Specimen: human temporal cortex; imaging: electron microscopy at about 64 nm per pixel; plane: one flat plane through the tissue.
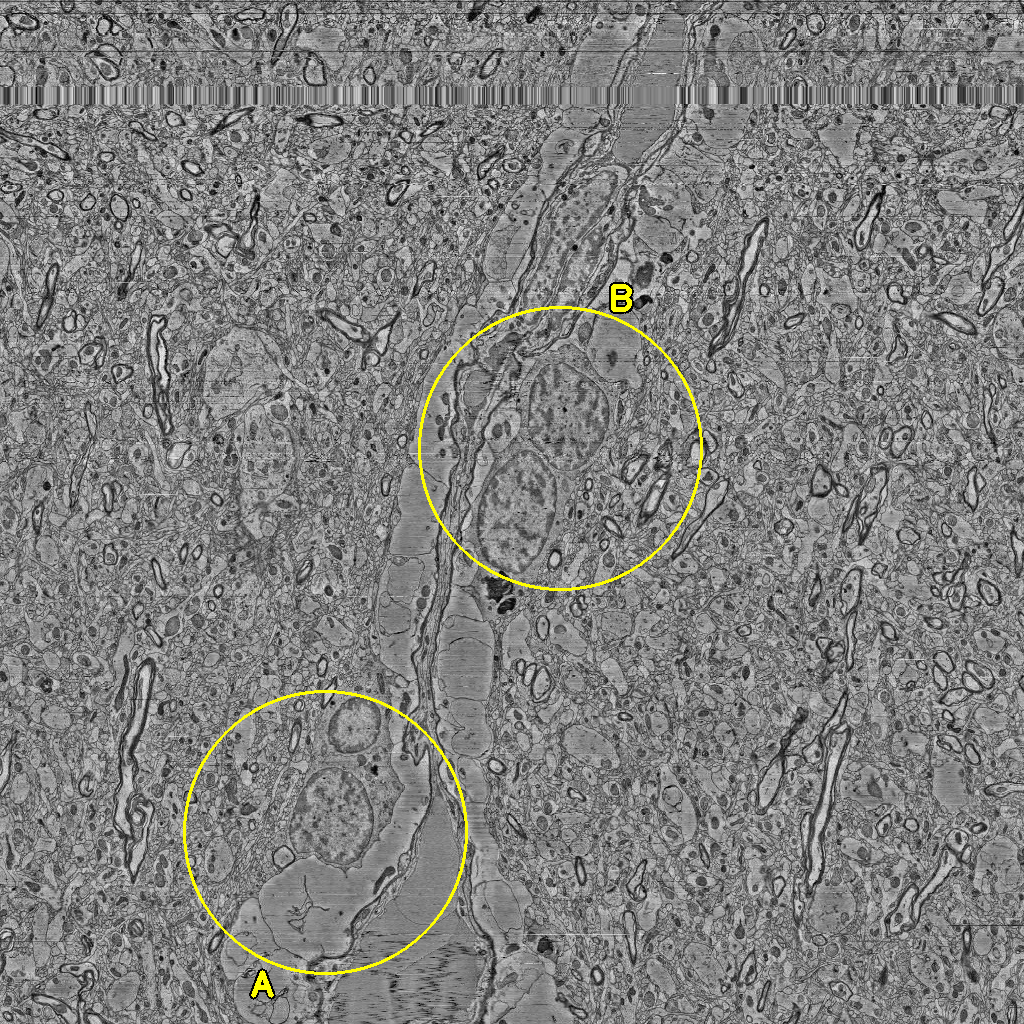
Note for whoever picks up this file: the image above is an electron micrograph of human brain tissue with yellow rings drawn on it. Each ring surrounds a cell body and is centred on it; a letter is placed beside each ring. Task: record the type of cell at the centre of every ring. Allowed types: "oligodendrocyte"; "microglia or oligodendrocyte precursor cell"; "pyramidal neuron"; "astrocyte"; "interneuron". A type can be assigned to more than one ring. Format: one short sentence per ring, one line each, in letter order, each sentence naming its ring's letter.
The ring marked A is centred on an oligodendrocyte.
The ring marked B is centred on an oligodendrocyte.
